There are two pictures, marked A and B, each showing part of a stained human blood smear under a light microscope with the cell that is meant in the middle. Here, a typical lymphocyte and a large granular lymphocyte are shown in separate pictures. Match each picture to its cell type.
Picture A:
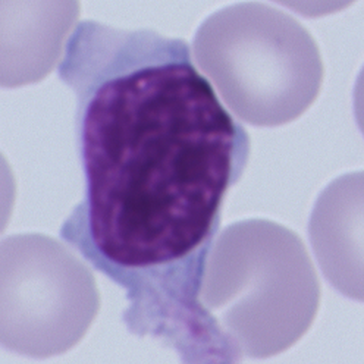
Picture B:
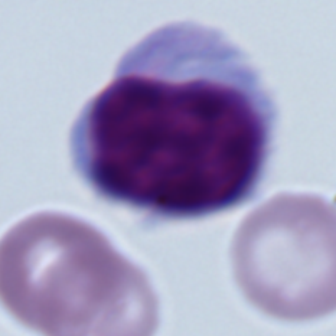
A: large granular lymphocyte
B: typical lymphocyte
